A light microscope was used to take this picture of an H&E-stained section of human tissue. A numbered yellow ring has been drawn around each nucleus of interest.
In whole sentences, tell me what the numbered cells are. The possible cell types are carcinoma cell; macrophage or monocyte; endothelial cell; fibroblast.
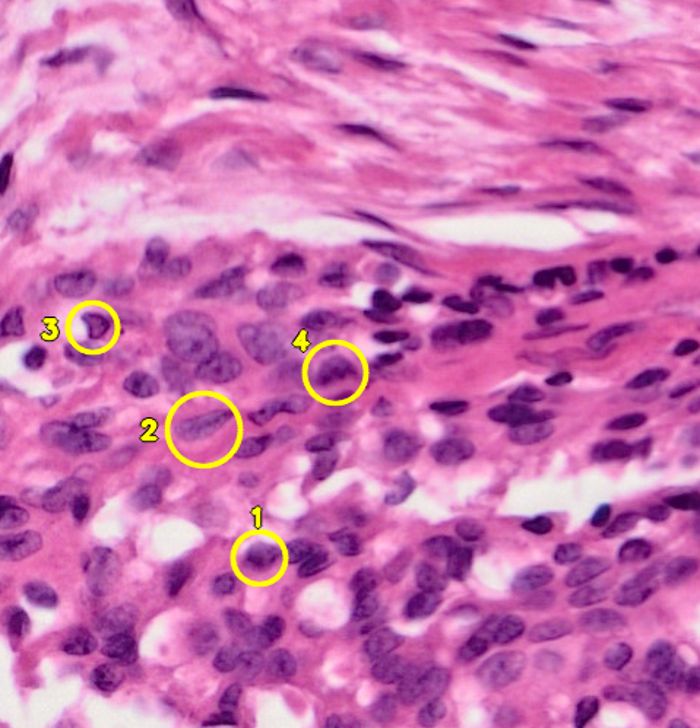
Cell 1 is a carcinoma cell, cell 2 is an endothelial cell, cell 3 is a carcinoma cell and cell 4 is a carcinoma cell.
